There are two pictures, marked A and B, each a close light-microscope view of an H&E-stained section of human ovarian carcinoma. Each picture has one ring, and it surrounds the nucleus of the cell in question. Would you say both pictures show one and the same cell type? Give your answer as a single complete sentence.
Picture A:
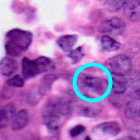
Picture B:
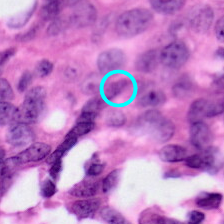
Yes, the two pictures both show carcinoma cells.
